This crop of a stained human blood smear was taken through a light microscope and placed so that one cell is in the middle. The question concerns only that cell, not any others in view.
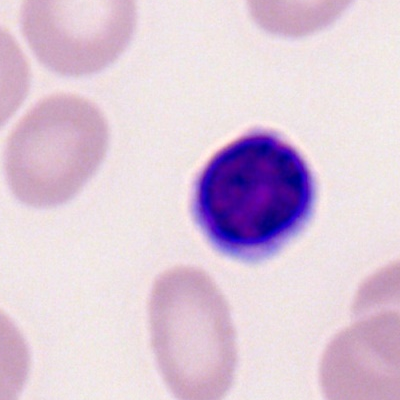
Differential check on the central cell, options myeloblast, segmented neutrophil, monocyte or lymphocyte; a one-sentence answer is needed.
The identification for the central cell is a lymphocyte.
